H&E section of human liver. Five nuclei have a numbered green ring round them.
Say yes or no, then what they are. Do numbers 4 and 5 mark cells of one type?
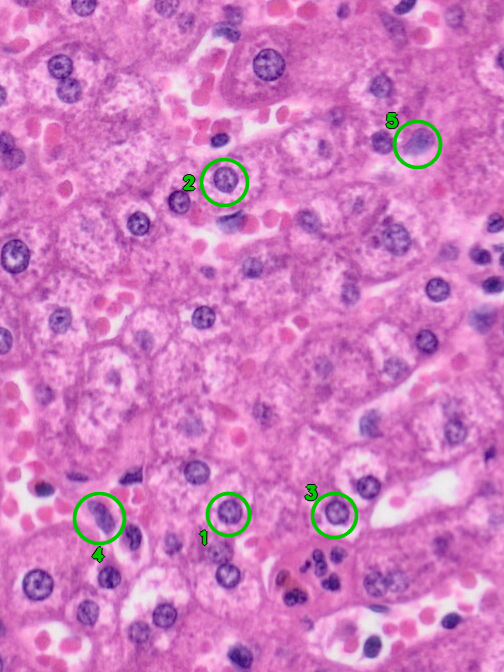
No, cell 4 is a Kupffer cell, and as for cell 5, it is an endothelial cell.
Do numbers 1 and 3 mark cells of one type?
Yes, cells 1 and 3 are alike in being hepatocytes.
